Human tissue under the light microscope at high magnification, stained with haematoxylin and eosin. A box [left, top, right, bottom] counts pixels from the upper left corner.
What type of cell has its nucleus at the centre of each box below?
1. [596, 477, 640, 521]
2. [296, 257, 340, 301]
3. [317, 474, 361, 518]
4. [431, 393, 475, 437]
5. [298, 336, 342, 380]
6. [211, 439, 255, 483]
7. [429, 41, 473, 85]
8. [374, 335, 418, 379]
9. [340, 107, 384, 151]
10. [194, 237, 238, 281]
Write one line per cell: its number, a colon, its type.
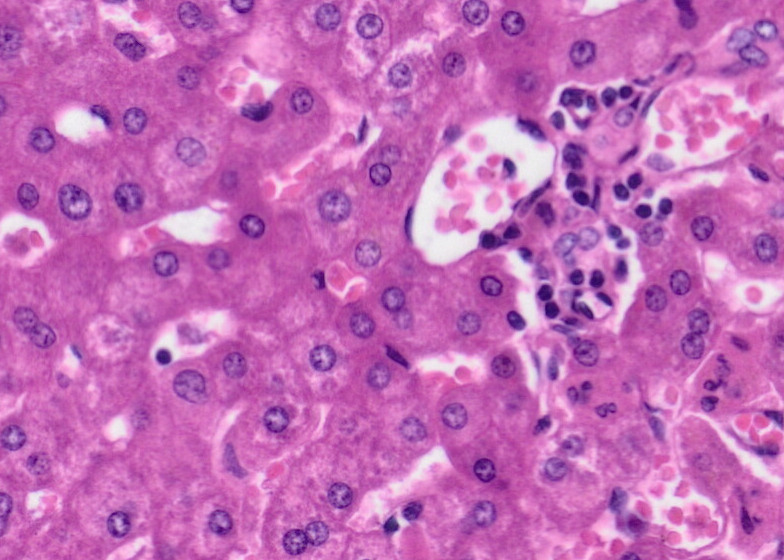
1: fibroblast or stellate cell
2: fibroblast or stellate cell
3: hepatocyte
4: hepatocyte
5: hepatocyte
6: Kupffer cell
7: hepatocyte
8: fibroblast or stellate cell
9: endothelial cell
10: hepatocyte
